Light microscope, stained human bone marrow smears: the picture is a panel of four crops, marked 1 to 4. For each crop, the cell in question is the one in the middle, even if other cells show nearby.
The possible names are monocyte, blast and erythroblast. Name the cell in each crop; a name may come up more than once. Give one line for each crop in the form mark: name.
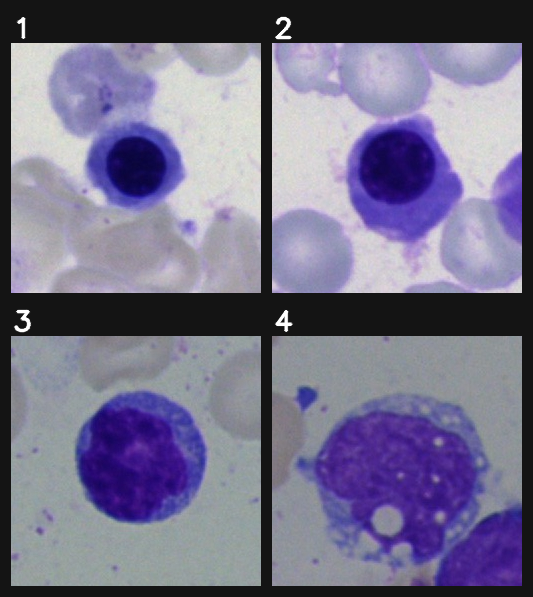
1: erythroblast
2: erythroblast
3: blast
4: monocyte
